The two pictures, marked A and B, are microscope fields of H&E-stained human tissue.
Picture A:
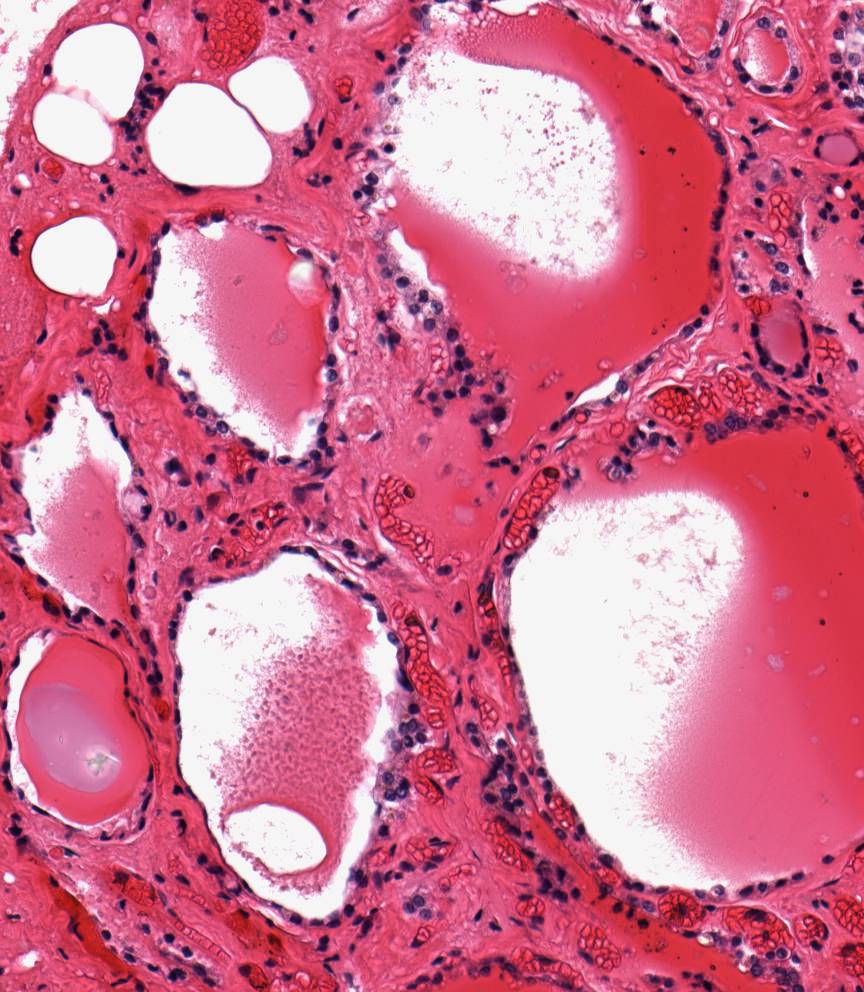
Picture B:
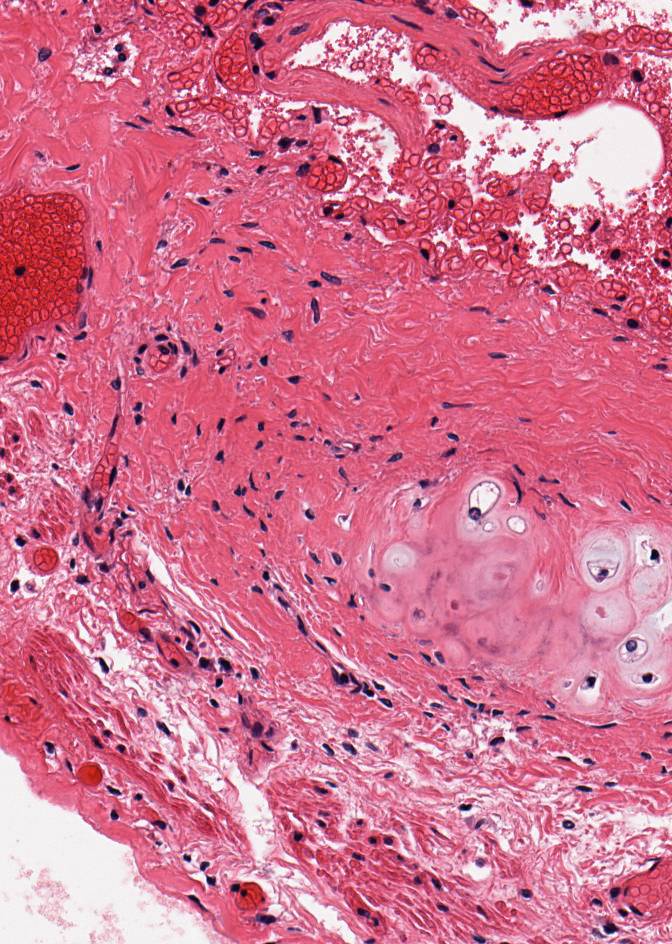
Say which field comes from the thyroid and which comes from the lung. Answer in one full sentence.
Picture A comes from the thyroid and picture B comes from the lung.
